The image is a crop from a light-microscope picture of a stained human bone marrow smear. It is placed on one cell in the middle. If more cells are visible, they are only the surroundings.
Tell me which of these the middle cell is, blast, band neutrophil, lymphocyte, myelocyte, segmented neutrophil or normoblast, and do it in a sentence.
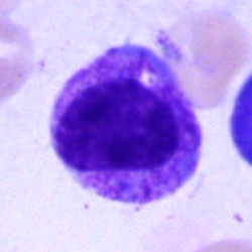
This crop is built around a myelocyte at its centre.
